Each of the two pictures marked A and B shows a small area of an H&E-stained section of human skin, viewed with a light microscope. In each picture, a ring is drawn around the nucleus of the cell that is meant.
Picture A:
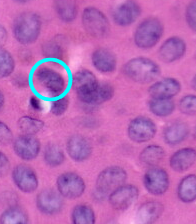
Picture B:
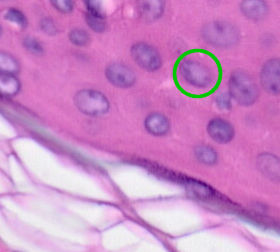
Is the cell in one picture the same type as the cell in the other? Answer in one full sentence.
No, the types are not the same, since picture A shows a basal keratinocyte and picture B a suprabasal keratinocyte.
